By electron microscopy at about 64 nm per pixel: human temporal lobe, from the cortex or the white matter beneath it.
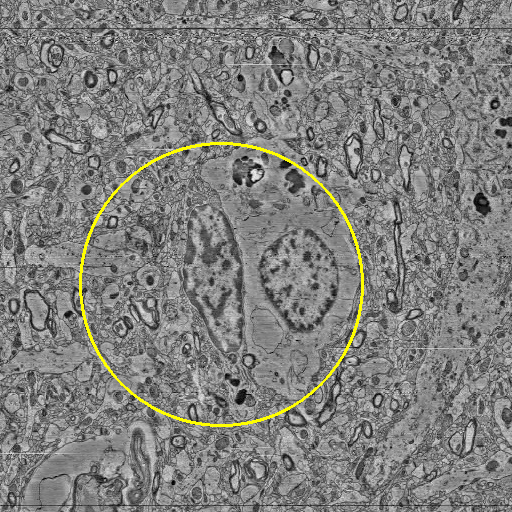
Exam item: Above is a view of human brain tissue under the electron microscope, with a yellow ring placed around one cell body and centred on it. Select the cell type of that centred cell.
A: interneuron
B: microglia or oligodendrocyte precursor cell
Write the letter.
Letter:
B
